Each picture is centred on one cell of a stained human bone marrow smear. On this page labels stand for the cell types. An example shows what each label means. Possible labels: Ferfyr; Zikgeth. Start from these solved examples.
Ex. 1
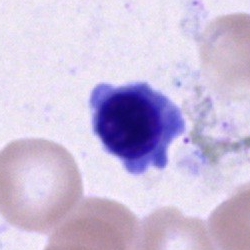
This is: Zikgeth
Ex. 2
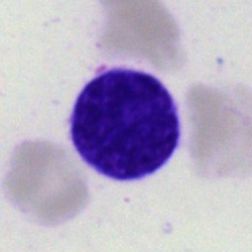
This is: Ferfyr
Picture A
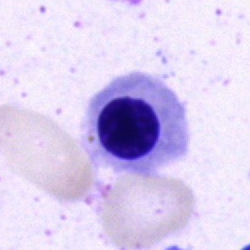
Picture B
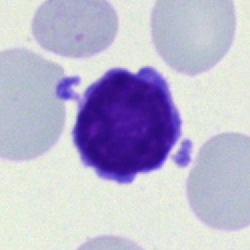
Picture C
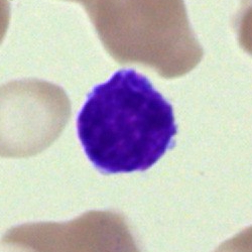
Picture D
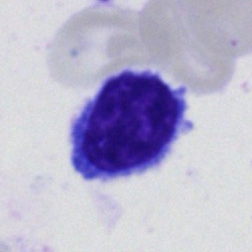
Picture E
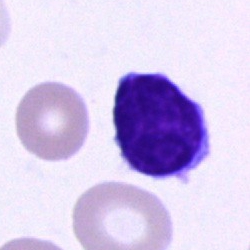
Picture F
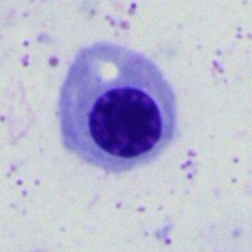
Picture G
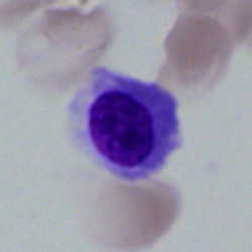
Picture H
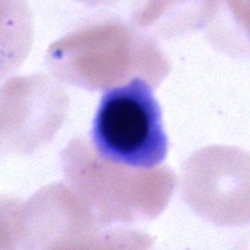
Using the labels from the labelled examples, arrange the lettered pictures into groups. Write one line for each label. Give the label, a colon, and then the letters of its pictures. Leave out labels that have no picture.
Ferfyr: B, C, D, E
Zikgeth: A, F, G, H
